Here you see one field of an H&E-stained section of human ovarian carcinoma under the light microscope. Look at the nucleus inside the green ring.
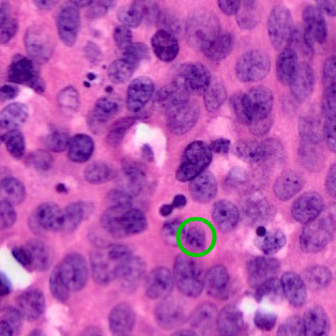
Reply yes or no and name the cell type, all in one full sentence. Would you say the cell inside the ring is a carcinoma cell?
No, judged by cell type, the cell inside the ring is an endothelial cell, not a carcinoma cell.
